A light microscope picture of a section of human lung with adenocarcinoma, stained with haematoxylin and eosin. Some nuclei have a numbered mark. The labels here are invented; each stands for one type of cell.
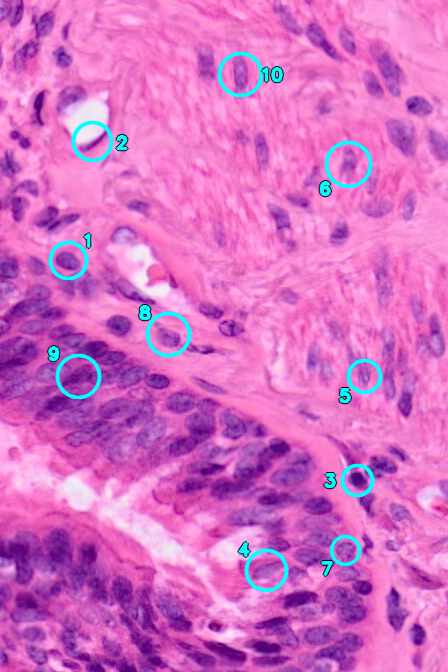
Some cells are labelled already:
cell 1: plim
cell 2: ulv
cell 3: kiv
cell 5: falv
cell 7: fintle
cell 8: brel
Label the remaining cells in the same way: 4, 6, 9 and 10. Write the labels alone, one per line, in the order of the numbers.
fintle
falv
fintle
falv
